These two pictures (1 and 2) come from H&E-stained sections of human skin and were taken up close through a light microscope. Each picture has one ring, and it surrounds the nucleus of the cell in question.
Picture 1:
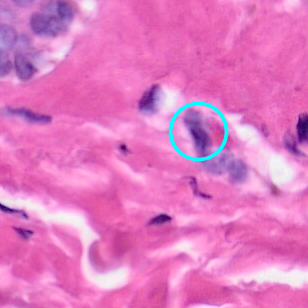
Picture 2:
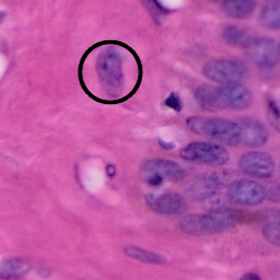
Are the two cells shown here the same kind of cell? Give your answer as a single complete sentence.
No, the types are not the same, since picture 1 shows an endothelial cell and picture 2 a fibroblast.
